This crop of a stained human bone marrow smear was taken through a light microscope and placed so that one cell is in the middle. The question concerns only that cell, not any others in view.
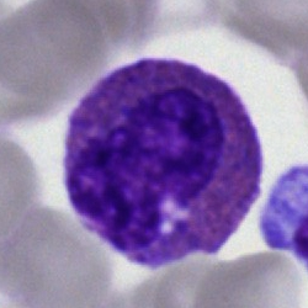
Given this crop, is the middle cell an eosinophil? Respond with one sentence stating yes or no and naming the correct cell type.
Yes, the central cell is to be recorded as an eosinophil.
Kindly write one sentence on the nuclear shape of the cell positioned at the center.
A single compact nucleus, round, oval or kidney-shaped, is what this cell shows.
